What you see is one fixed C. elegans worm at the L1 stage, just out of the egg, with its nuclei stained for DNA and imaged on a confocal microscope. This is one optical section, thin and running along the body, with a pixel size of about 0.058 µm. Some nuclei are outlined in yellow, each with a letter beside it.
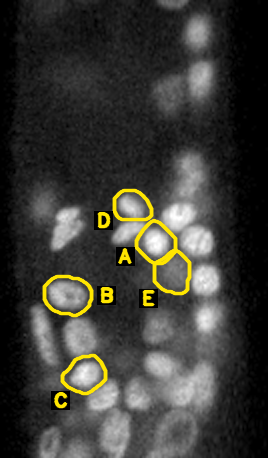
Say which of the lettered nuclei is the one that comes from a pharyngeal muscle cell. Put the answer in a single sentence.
Nucleus B belongs to a pharyngeal muscle cell.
